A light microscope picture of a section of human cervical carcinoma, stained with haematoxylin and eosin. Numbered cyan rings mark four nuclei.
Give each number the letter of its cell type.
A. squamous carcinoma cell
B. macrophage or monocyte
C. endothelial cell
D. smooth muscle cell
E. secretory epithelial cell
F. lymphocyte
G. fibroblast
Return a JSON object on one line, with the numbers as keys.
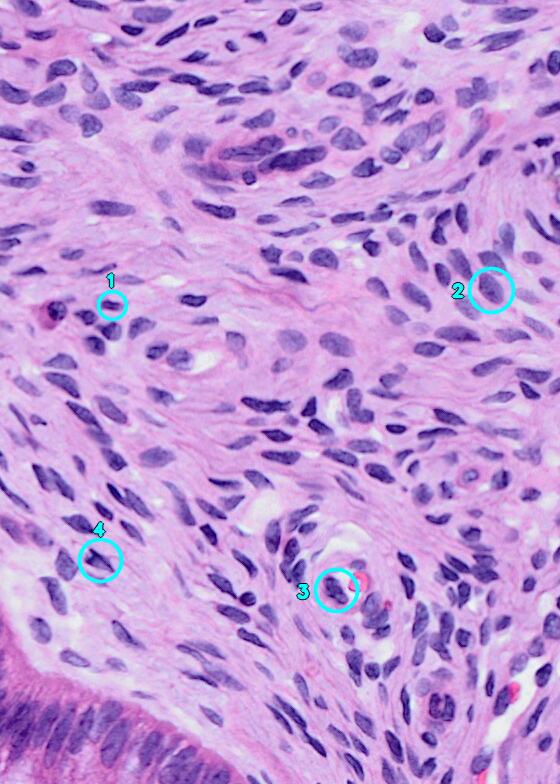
{"1": "G", "2": "G", "3": "C", "4": "G"}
